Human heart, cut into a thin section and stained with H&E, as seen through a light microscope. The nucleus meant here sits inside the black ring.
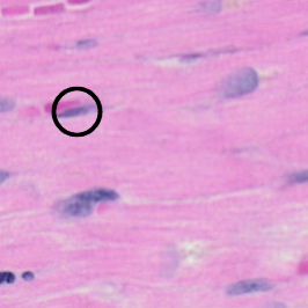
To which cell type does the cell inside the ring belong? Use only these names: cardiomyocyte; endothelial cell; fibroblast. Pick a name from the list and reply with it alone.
endothelial cell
